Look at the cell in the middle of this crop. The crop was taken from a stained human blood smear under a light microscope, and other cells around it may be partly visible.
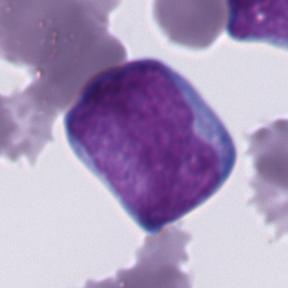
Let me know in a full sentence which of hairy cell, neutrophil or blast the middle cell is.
The target cell in the middle of the crop is a blast.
